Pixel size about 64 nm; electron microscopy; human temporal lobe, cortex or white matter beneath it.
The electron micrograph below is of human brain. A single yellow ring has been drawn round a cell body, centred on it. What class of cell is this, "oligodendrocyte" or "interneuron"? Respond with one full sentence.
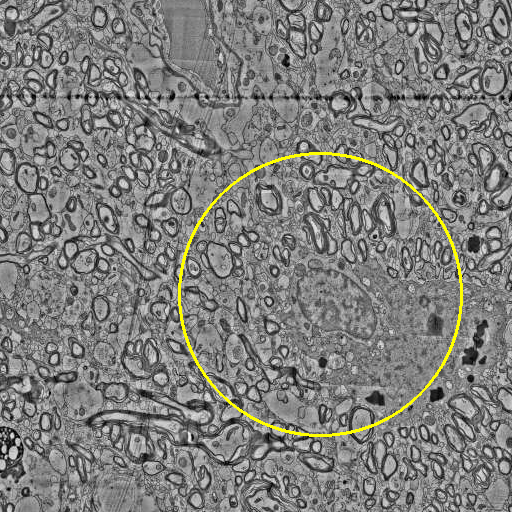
In the micrograph, the cell centred inside the yellow ring is an oligodendrocyte.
